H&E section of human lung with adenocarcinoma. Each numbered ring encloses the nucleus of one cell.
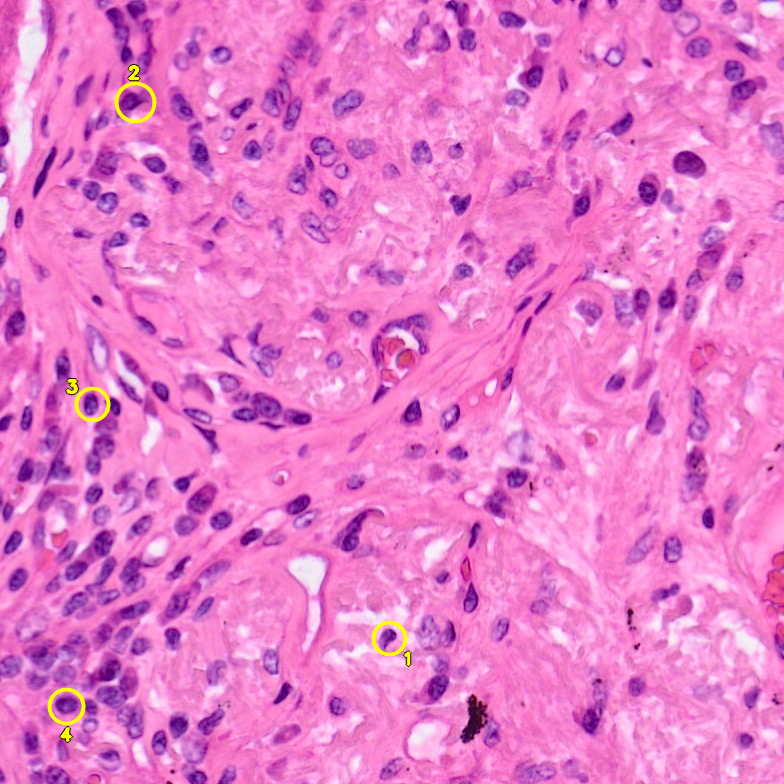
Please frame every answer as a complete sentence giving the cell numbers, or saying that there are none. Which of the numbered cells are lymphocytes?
The cells with the number labels 1, 3 and 4 are lymphocytes.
